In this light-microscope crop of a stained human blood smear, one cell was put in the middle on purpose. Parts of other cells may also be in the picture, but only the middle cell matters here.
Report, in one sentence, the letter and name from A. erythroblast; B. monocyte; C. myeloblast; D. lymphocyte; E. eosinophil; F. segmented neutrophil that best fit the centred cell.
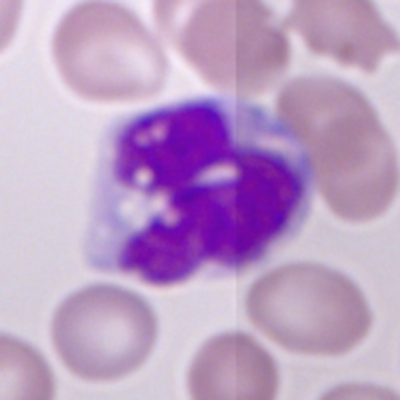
Option B is correct, naming the cell in the middle as a monocyte.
